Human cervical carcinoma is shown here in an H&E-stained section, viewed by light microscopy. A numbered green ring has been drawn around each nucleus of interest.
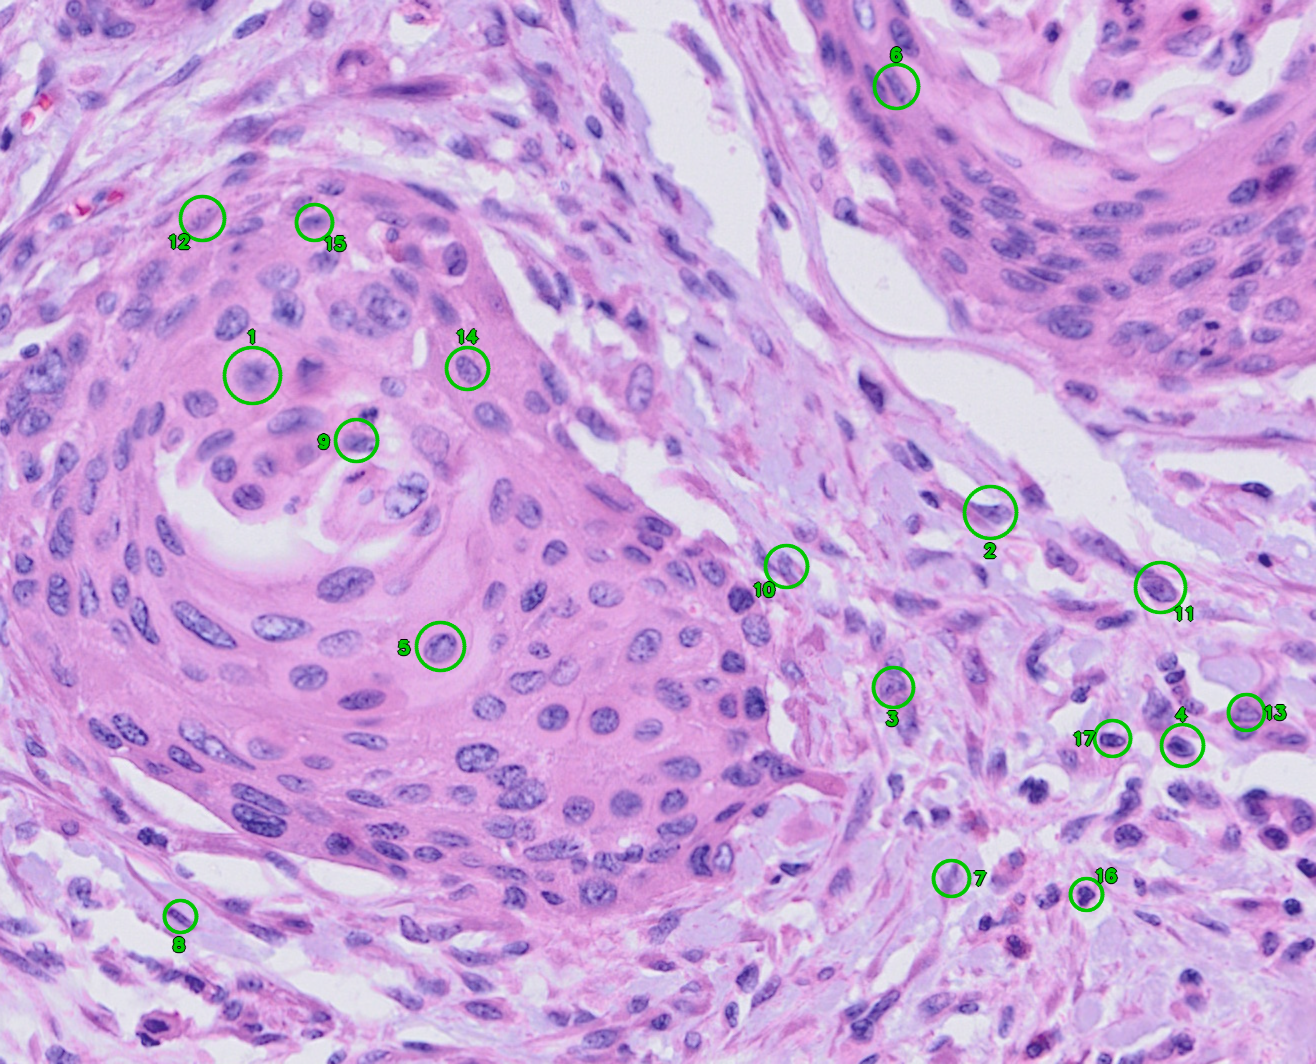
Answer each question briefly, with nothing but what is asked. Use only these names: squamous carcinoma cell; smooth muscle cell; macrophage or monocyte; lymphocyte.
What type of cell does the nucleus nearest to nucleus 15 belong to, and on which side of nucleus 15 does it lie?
a squamous carcinoma cell; above and to the left of nucleus 15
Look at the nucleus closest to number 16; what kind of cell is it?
macrophage or monocyte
